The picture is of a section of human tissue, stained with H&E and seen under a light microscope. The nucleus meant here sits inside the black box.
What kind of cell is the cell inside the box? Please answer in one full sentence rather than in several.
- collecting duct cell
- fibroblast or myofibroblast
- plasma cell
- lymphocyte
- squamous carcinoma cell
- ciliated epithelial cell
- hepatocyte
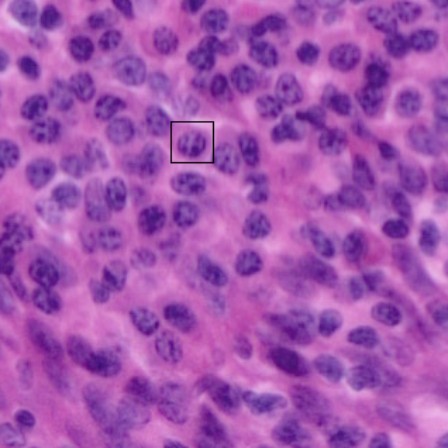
In cell-type terms, the cell inside the box is a plasma cell.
